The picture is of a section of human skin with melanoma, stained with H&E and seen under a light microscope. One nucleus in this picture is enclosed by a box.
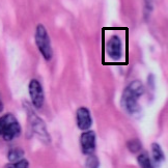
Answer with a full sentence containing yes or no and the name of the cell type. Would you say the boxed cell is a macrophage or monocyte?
No, the boxed cell is regarded as a lymphocyte rather than a macrophage or monocyte.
